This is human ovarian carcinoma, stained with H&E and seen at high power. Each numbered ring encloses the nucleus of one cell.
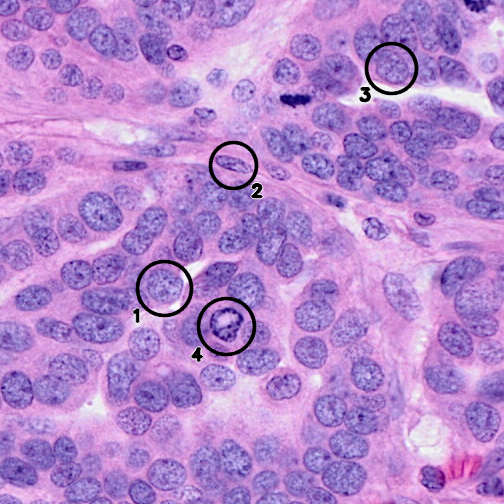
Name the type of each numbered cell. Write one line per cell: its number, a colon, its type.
1: carcinoma cell
2: macrophage or monocyte
3: carcinoma cell
4: carcinoma cell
